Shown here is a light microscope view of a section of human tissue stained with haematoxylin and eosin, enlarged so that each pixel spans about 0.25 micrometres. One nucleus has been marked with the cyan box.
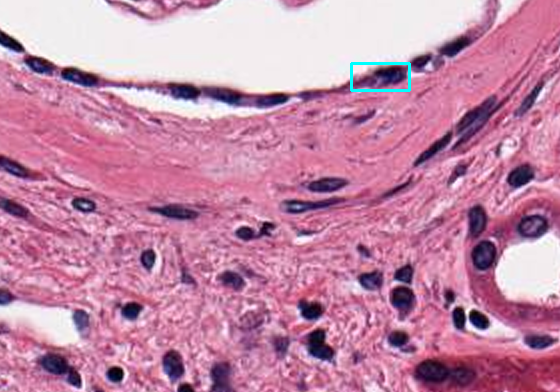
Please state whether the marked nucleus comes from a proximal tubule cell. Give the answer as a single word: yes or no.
no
